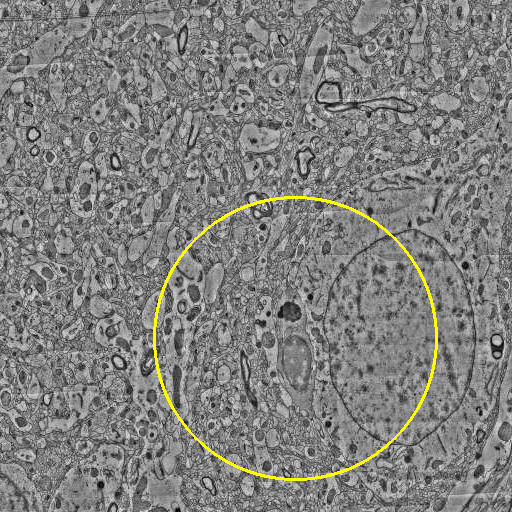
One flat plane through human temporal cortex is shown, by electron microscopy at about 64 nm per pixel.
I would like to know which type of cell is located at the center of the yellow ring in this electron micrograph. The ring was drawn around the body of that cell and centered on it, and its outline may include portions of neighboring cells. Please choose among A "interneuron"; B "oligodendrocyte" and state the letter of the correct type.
B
